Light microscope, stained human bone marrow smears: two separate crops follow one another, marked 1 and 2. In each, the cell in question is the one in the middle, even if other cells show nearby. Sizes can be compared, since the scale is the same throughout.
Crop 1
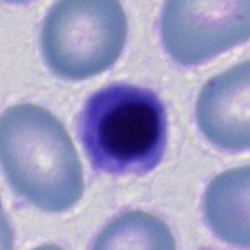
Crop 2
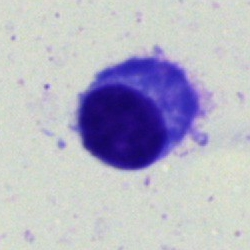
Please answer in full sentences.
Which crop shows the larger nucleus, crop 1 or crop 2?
The nucleus in crop 2 is larger, with about 2 times the area of the one in crop 1.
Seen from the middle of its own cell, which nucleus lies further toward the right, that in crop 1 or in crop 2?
It is the nucleus in crop 1 that lies further toward the right of its cell.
